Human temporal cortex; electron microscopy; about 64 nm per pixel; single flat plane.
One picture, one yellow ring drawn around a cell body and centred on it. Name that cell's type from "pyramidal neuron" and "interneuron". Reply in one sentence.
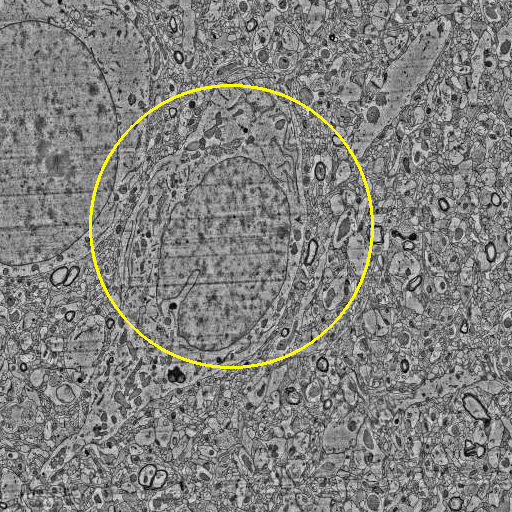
Centred in the ring is an interneuron.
